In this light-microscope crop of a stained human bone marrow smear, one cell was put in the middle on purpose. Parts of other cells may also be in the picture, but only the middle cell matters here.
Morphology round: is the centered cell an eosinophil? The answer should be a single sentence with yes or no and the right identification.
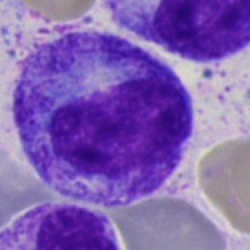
No, a promyelocyte rather than an eosinophil is the cell at the centre of the crop.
